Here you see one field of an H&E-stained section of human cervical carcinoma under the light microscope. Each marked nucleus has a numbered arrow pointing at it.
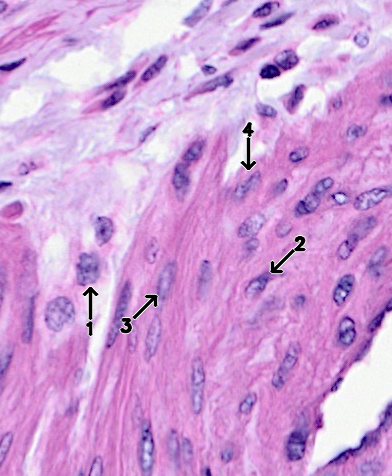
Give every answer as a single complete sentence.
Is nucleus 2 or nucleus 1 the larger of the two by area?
Number 1 is larger; its area is about 2 times that of number 2.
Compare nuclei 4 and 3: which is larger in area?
Number 3 is larger; its area is about 1.5 times that of number 4.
